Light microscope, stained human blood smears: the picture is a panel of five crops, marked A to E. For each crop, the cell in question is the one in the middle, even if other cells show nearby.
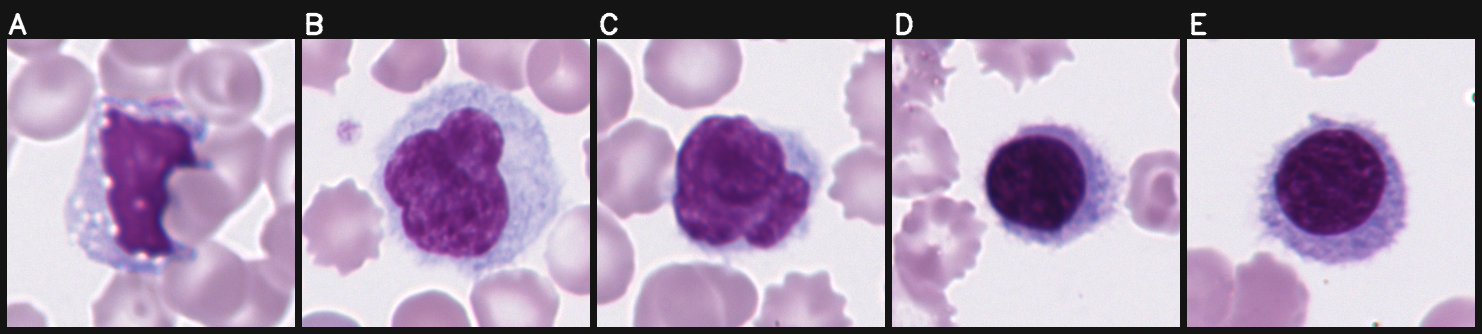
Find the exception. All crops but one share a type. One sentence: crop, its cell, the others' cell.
Crop A is a typical lymphocyte, unlike the other crops, which all show hairy cells.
